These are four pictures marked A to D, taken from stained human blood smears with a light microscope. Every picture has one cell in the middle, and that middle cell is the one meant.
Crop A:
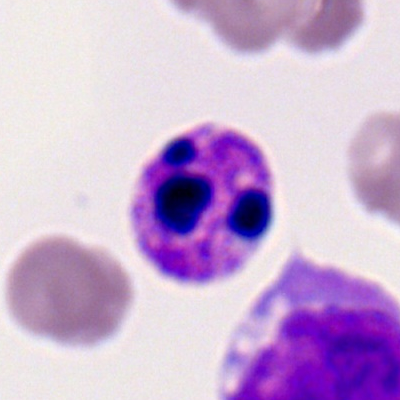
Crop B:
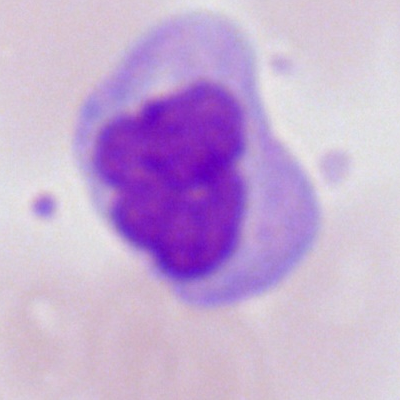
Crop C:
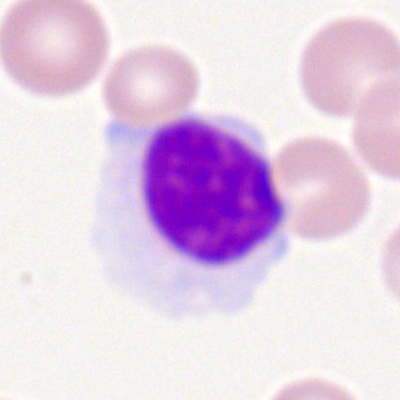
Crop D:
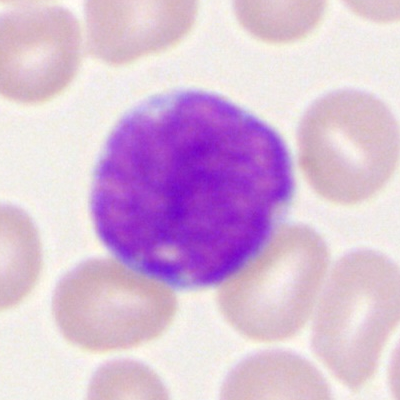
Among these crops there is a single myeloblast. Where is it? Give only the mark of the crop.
D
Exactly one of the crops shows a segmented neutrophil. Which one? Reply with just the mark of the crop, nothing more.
A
